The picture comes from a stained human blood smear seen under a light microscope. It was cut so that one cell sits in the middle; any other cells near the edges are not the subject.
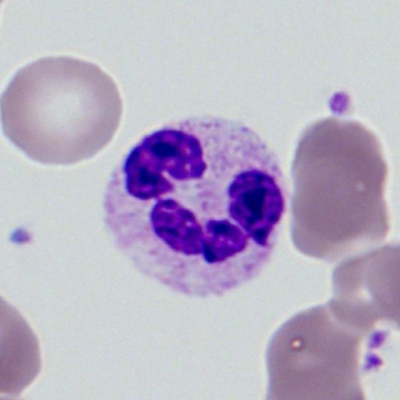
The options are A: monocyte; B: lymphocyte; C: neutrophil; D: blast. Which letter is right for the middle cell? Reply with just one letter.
C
